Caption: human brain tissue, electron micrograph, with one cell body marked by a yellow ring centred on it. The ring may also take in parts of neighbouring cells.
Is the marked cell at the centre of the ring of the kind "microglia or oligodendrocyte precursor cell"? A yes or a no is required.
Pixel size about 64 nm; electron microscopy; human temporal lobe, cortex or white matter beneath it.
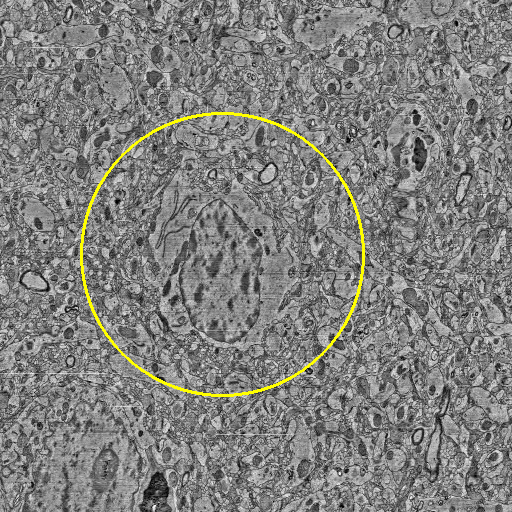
no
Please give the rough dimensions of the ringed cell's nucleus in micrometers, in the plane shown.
About 8 by 5 micrometres, the nucleus being clearly longer than it is wide in this plane.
